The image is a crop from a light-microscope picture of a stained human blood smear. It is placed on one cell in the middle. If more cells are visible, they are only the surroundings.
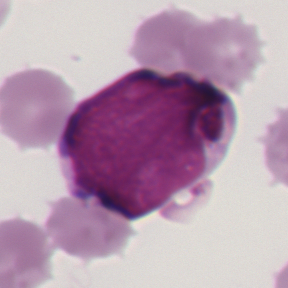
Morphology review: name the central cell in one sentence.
In the middle of this smear crop is a myeloblast.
